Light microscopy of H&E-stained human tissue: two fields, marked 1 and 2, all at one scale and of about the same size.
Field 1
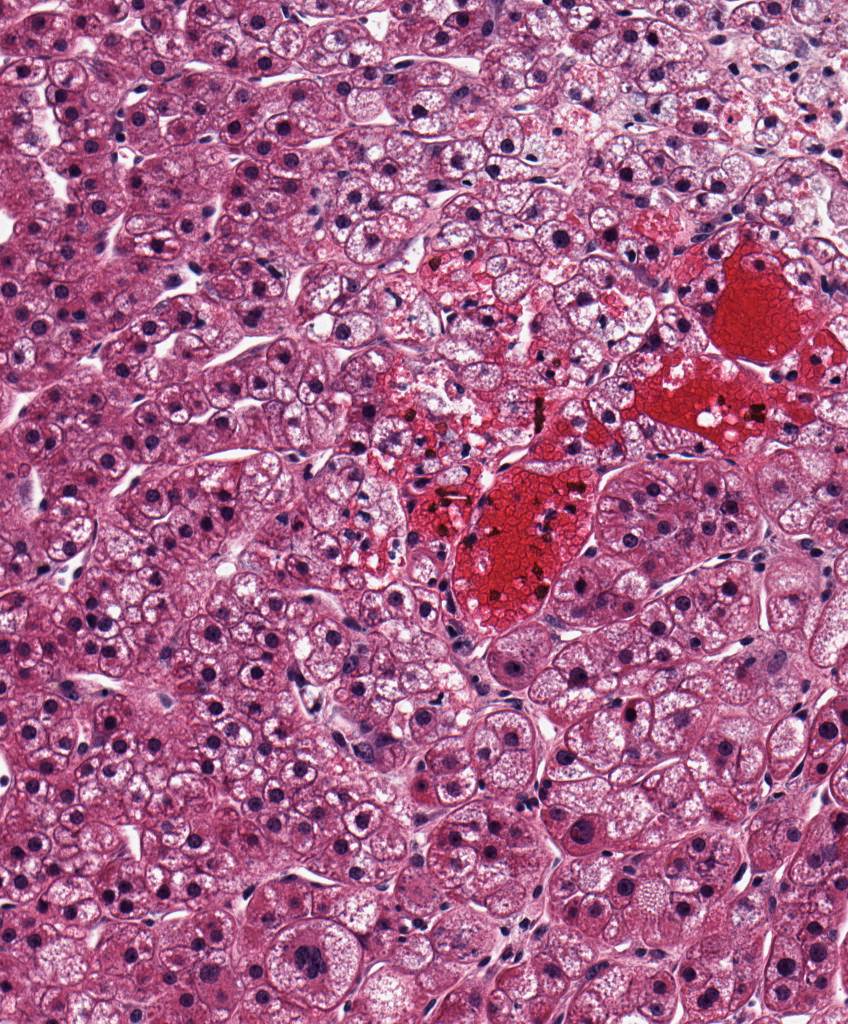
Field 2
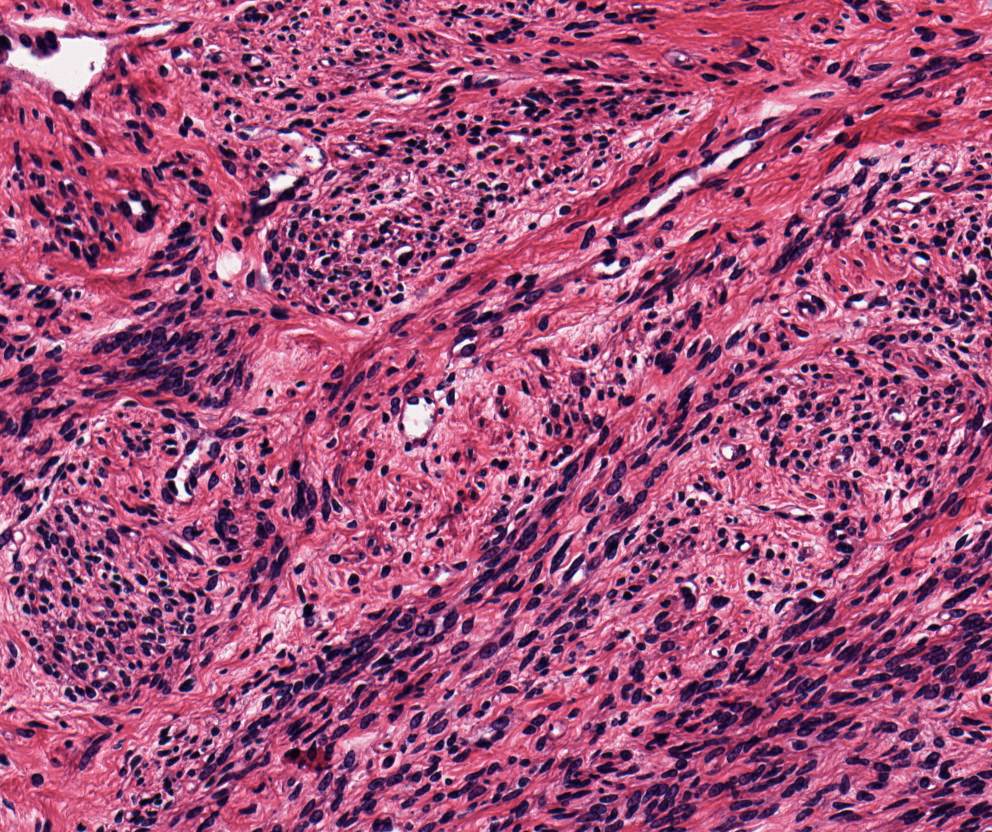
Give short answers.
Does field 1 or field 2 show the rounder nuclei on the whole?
1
